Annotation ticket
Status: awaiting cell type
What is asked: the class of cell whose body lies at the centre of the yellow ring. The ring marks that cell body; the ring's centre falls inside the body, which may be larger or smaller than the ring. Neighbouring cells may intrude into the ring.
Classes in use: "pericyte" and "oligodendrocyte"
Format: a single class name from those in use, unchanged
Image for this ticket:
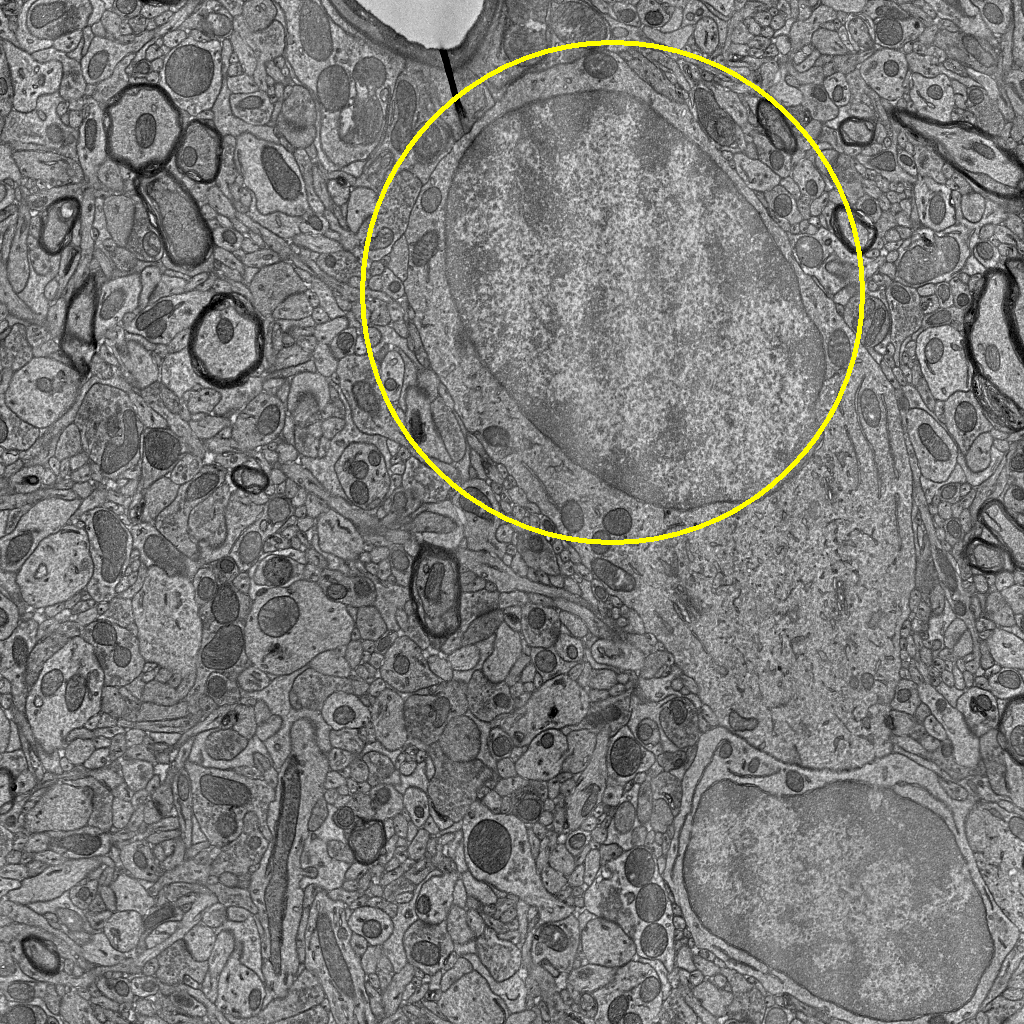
oligodendrocyte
